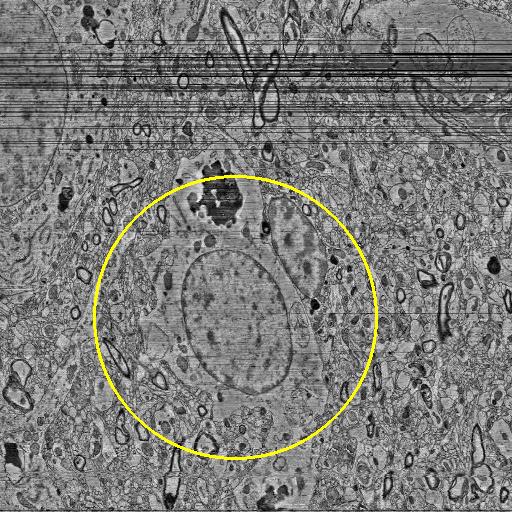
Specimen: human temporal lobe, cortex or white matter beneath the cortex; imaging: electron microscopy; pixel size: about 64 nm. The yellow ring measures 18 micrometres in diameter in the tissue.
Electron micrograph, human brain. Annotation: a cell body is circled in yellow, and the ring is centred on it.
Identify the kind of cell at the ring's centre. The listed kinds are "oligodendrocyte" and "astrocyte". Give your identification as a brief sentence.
The circled cell body is that of an astrocyte.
